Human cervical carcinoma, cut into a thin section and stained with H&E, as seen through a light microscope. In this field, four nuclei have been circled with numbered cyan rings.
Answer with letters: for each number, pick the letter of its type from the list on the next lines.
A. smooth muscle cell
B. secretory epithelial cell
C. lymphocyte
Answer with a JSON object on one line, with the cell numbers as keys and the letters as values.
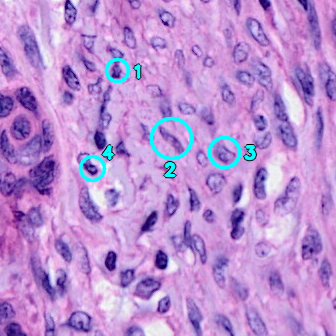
{"1": "A", "2": "A", "3": "A", "4": "C"}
